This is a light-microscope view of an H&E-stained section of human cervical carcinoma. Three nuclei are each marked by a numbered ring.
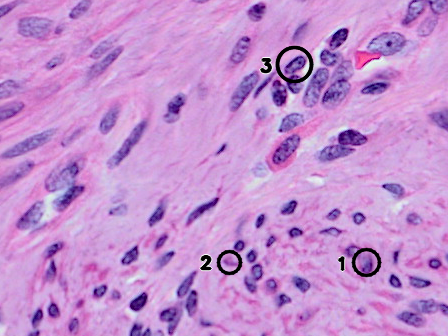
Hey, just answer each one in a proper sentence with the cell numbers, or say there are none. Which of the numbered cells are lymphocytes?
Cell 3 is a lymphocyte, and this holds for no other numbered cell.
